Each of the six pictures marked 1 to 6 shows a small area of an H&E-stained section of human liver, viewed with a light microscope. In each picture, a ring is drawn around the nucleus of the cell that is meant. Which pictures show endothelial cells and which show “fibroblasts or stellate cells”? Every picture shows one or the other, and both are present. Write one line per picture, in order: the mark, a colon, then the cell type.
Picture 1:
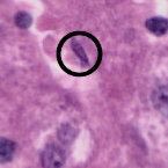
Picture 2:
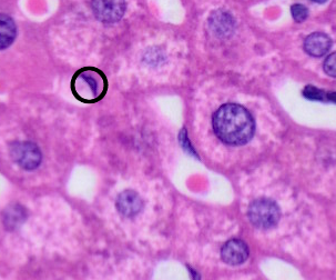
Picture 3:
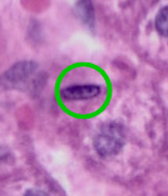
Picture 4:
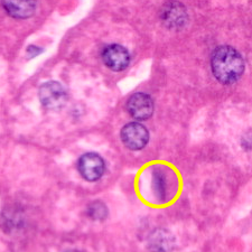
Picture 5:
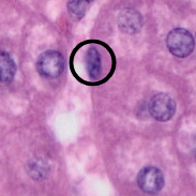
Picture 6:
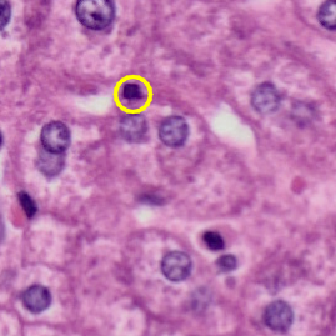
1: endothelial cell
2: endothelial cell
3: fibroblast or stellate cell
4: endothelial cell
5: fibroblast or stellate cell
6: fibroblast or stellate cell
